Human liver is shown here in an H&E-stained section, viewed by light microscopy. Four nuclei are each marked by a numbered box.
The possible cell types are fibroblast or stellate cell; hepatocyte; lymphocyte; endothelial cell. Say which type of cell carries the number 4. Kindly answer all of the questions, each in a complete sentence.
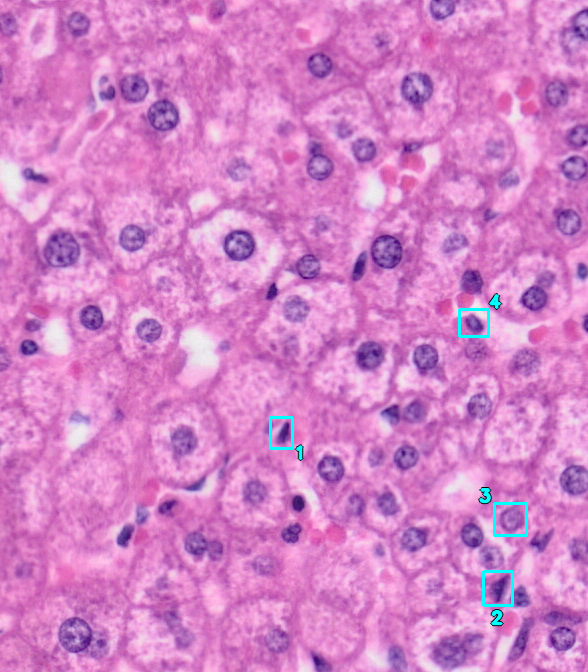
The cell numbered 4 represents a lymphocyte.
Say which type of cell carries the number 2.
The cell assigned the number 2 is a fibroblast or stellate cell.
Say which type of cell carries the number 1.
Corresponding to an endothelial cell is the cell labelled 1.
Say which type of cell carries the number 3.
Number 3 is placed on a hepatocyte here.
